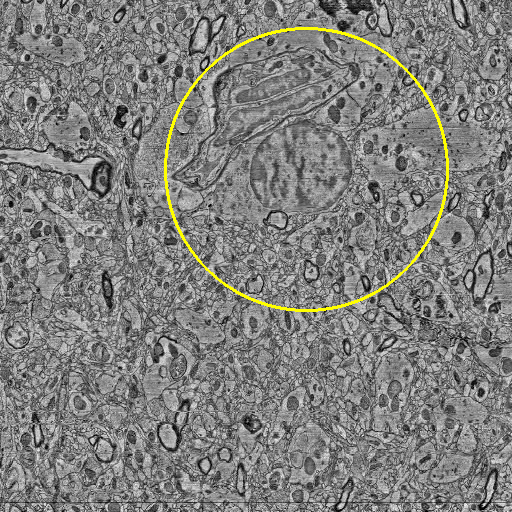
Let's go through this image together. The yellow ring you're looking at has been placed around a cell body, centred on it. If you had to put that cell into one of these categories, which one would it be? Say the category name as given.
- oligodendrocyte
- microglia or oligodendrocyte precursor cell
oligodendrocyte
